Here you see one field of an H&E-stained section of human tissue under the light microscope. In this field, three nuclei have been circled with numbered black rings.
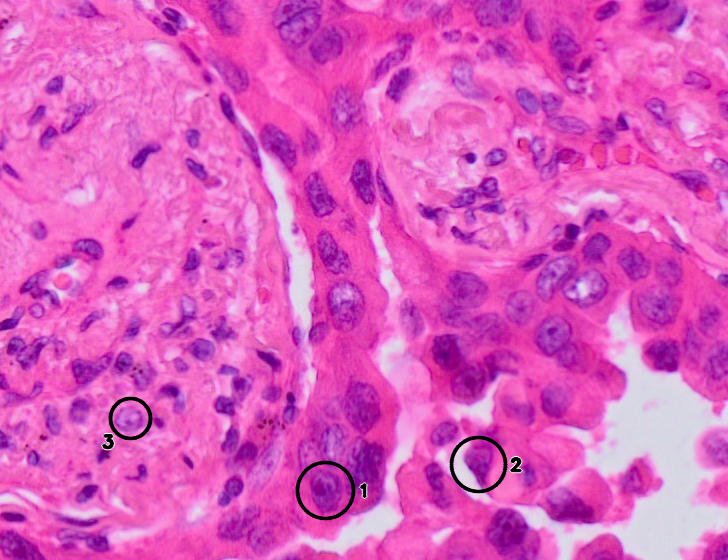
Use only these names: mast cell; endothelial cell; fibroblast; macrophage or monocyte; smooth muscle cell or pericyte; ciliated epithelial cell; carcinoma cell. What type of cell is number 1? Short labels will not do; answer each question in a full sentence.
The cell whose nucleus carries the number 1 is a carcinoma cell.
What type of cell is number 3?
Among the marked cells, number 3 is a fibroblast.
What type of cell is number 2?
Within this field of view, the cell labelled 2 is a carcinoma cell.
